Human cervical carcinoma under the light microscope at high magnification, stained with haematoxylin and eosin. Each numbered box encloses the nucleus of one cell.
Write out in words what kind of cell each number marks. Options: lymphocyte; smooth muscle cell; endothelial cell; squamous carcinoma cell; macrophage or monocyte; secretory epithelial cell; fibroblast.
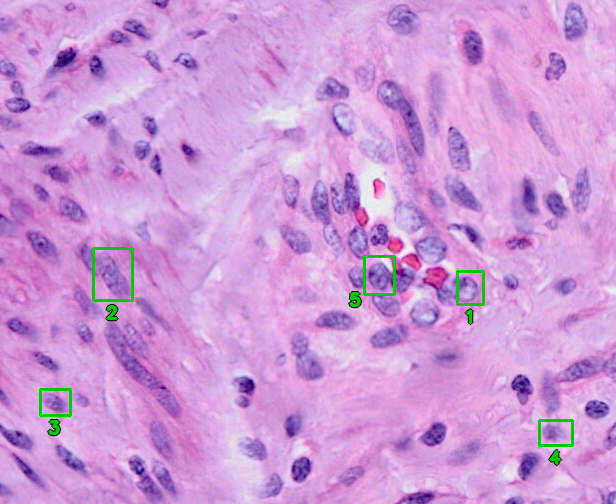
Cells 1 and 5 are endothelial cells. Cells 2 and 3 are smooth muscle cells. Cell 4 is a fibroblast.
